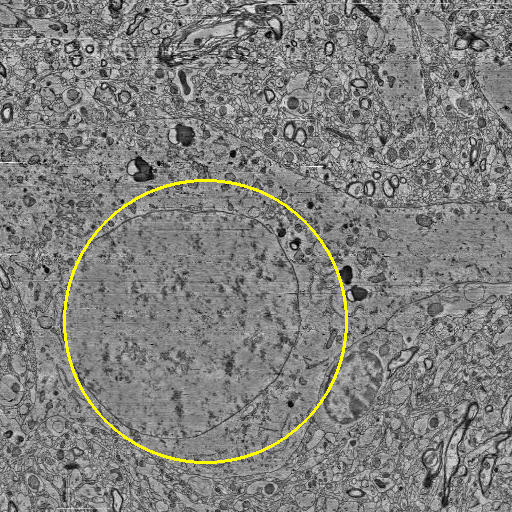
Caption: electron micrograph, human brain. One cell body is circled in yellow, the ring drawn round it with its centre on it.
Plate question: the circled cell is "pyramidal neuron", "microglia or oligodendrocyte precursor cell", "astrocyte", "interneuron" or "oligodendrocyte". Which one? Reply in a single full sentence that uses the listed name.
The yellow ring on the plate is centred on a pyramidal neuron, going by the listed names.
